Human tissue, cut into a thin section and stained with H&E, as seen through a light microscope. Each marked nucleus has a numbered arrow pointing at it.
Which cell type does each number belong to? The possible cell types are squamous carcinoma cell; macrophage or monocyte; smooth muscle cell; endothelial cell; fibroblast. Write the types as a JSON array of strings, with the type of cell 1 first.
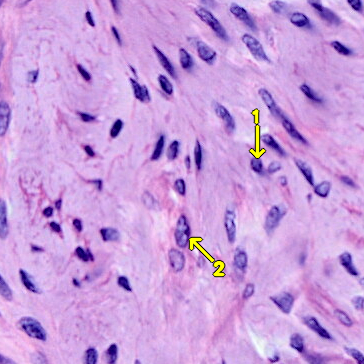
["fibroblast", "endothelial cell"]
